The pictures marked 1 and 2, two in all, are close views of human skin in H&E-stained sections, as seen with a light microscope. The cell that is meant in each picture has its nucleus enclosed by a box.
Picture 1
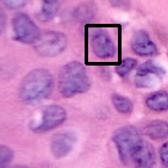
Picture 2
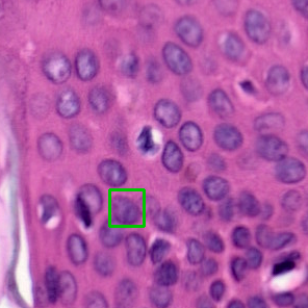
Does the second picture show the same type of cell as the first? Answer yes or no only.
no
